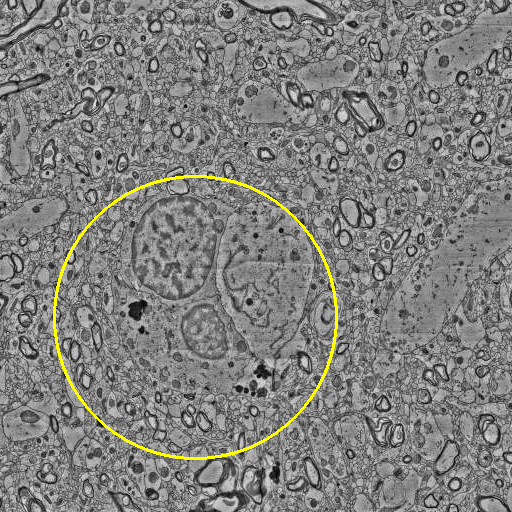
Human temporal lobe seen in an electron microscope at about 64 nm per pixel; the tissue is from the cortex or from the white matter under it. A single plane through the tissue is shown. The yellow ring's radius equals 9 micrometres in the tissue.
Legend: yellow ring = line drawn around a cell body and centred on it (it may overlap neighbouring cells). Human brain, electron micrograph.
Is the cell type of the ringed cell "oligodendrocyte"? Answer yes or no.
yes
